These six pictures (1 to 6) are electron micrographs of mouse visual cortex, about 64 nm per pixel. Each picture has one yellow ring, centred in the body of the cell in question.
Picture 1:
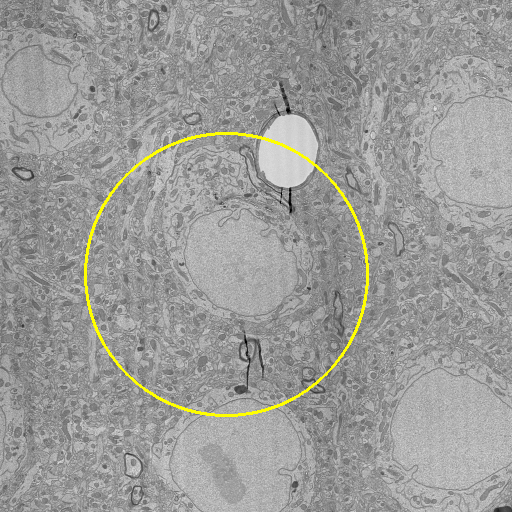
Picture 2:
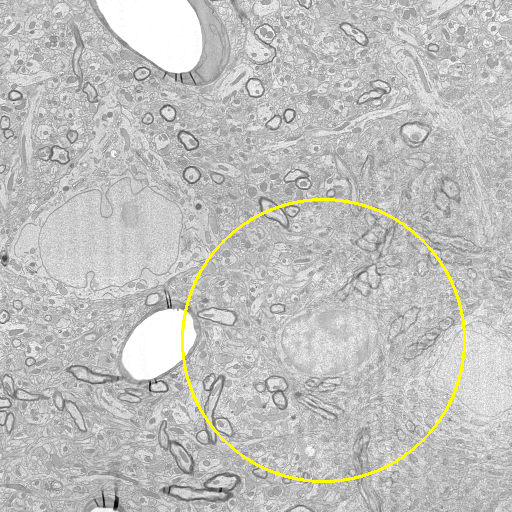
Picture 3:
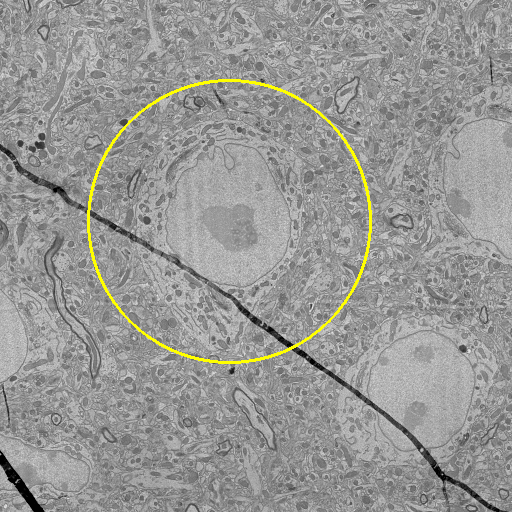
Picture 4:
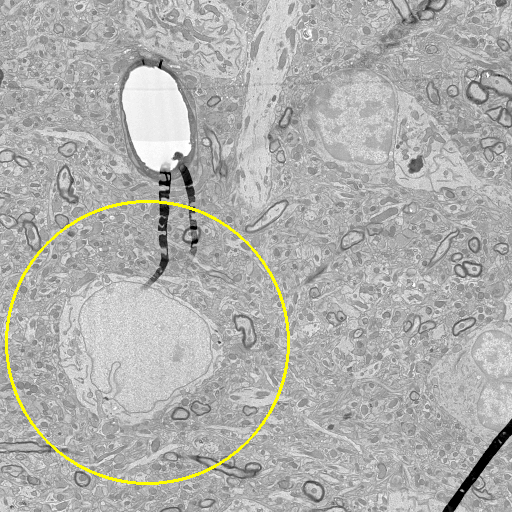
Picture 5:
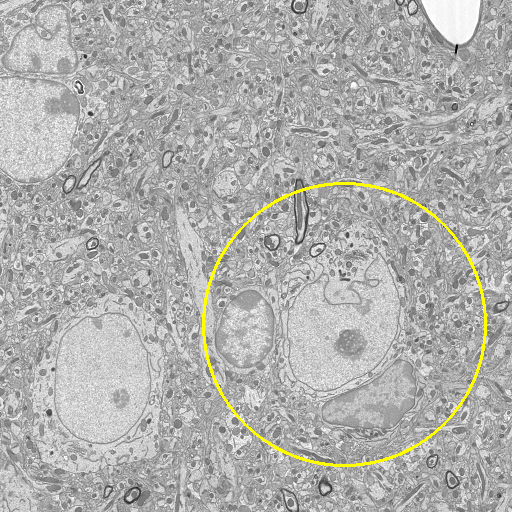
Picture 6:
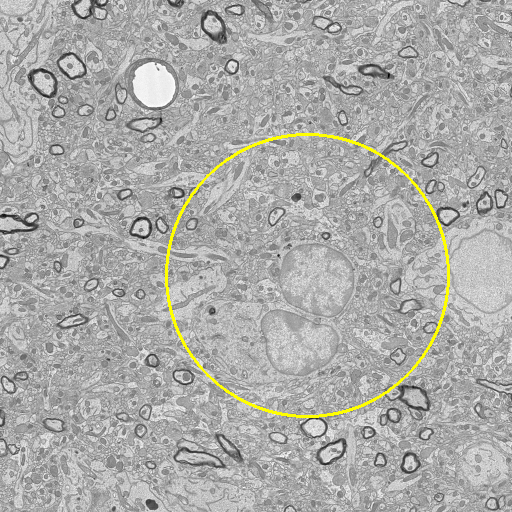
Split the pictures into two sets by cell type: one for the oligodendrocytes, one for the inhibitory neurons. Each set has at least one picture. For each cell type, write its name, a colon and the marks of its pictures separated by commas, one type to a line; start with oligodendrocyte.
oligodendrocyte: 2, 6
inhibitory neuron: 1, 3, 4, 5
